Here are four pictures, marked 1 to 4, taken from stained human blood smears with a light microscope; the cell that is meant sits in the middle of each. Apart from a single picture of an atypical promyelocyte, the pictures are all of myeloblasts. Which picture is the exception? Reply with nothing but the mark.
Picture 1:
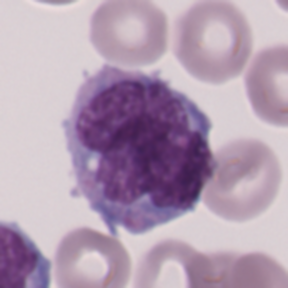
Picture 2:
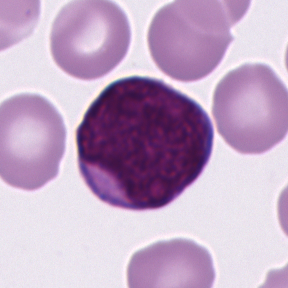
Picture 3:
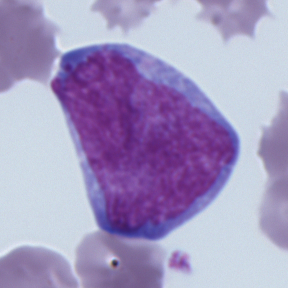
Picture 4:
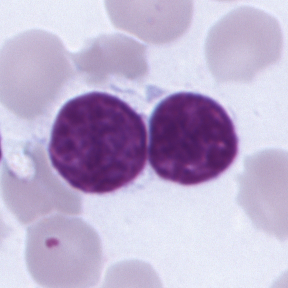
1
